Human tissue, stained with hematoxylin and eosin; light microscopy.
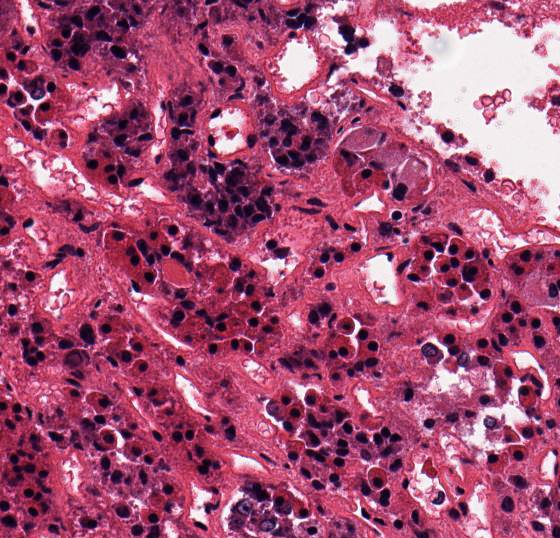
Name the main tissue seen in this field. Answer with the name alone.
pars distalis of the pituitary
